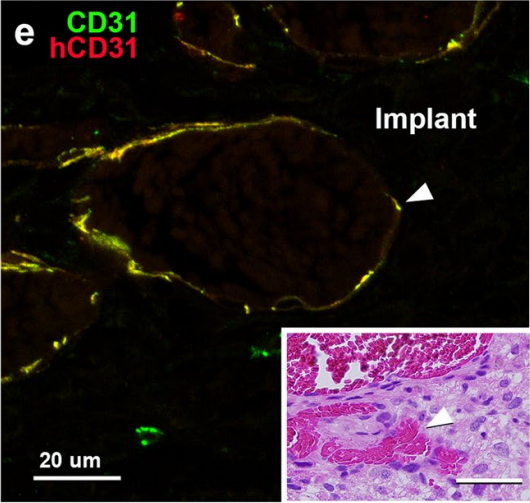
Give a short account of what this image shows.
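The lumen is filled with faintly textured material. The surrounding tissue is dark with little stain, with a few small green spots. In the stained inset, vessel lumens contain packed red blood cells, and a vessel marked by an arrowhead lies among pale pink tissue with purple nuclei.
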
